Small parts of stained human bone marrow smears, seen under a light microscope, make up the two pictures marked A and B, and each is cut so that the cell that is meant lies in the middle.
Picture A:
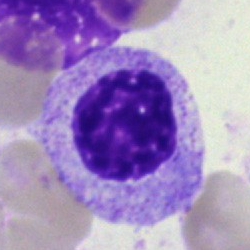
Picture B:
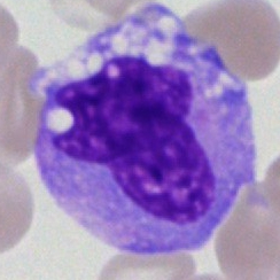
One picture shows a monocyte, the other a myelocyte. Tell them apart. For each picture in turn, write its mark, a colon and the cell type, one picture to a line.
A: myelocyte
B: monocyte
